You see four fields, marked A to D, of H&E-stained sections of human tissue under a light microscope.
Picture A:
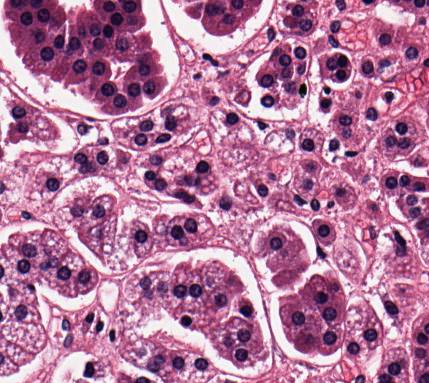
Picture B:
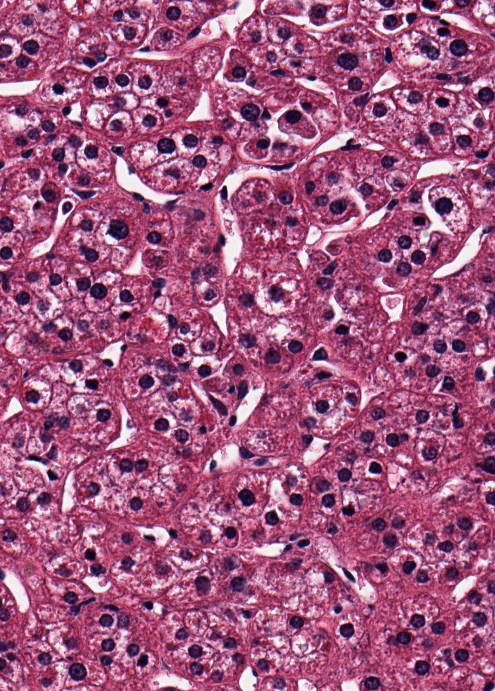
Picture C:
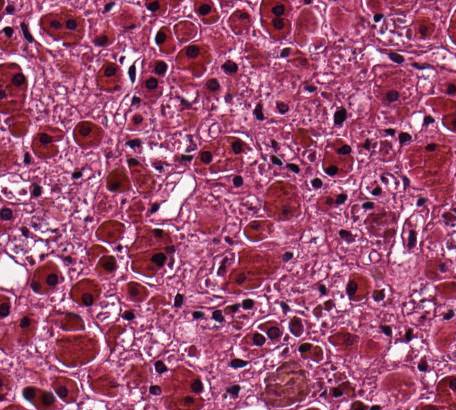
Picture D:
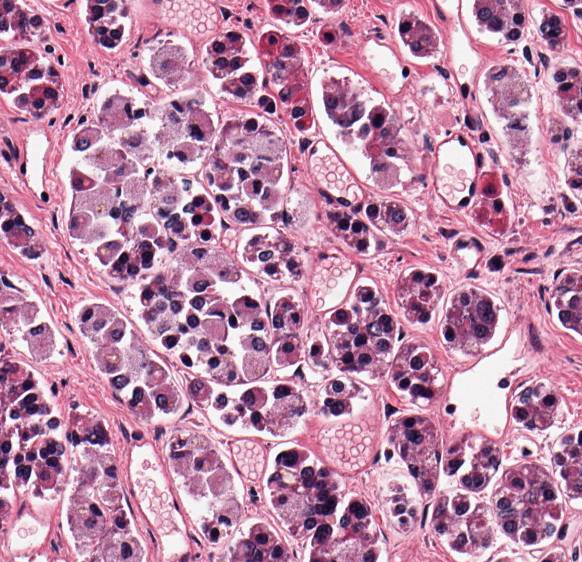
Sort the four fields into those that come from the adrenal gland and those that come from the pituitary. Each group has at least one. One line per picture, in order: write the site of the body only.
adrenal gland
adrenal gland
adrenal gland
pituitary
